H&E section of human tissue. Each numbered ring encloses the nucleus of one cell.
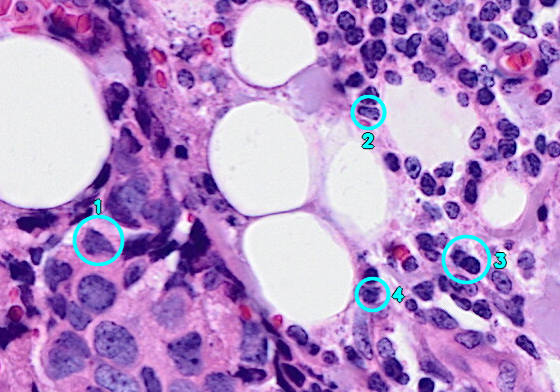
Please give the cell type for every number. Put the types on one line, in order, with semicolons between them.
carcinoma cell; lymphocyte; lymphocyte; lymphocyte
